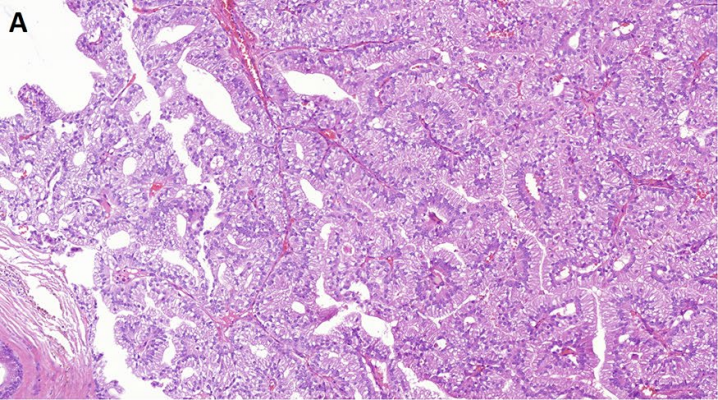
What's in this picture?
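A densely packed tumor made of mucinous columnar cells lining crowded papillary fronds and small gland-like and slit-like spaces. The cells are tall, with pale, clear to lightly purple apical cytoplasm and small, round, uniform nuclei lined up toward the base. Thin pink fibrovascular cores run between the fronds, some containing red blood cells. Larger open spaces appear at the upper left. At the lower left corner lies a band of pink, wavy fibrous tissue. Nuclear atypia looks mild, in keeping with a low-grade papillary-cystic tumor.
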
